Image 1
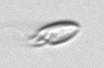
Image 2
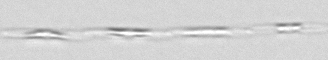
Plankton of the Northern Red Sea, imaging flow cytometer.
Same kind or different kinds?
Different: the first is Kapelodinium, the second Pseudo-nitzschia.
